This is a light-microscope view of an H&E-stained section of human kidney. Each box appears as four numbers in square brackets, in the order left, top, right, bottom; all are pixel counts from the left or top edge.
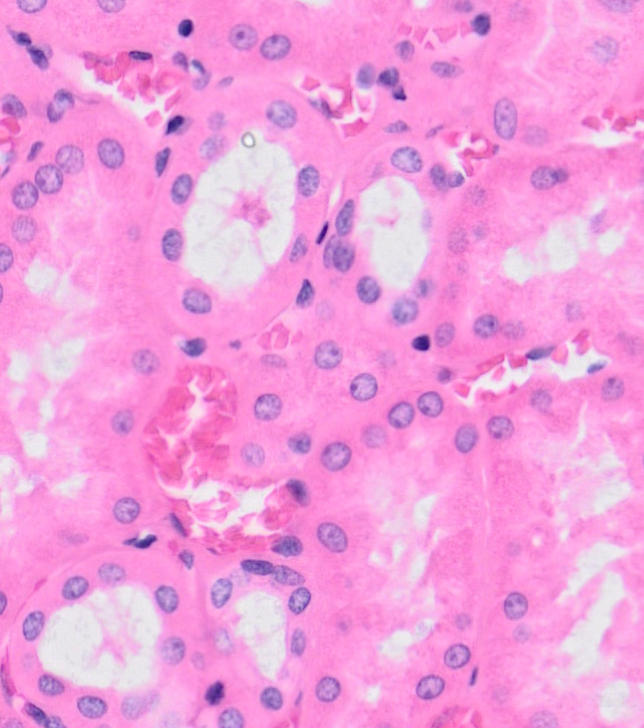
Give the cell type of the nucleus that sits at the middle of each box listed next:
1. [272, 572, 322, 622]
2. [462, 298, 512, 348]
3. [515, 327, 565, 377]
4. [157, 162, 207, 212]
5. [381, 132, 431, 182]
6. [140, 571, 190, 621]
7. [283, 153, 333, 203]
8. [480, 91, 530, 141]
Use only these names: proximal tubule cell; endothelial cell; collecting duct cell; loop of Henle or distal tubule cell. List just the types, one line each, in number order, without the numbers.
collecting duct cell
proximal tubule cell
endothelial cell
loop of Henle or distal tubule cell
collecting duct cell
loop of Henle or distal tubule cell
loop of Henle or distal tubule cell
proximal tubule cell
